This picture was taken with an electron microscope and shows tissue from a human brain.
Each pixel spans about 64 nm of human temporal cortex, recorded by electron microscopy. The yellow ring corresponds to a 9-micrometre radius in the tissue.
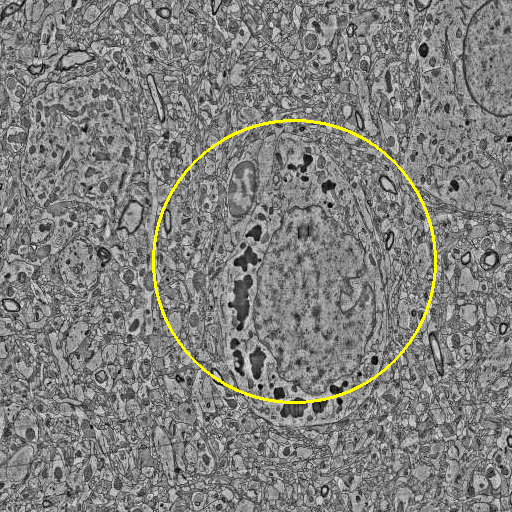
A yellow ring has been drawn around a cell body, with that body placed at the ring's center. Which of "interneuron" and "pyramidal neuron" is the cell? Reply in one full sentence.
In this picture, an interneuron is the cell at the center of the yellow ring.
